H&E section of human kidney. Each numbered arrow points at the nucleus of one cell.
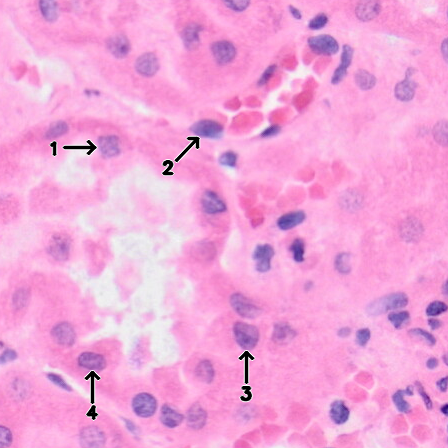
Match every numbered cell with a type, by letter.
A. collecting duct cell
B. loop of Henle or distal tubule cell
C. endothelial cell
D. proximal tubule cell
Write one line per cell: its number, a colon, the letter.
1: D
2: C
3: D
4: D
